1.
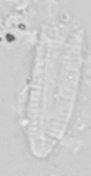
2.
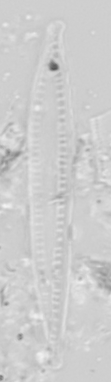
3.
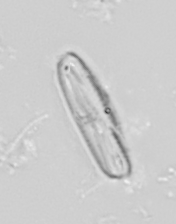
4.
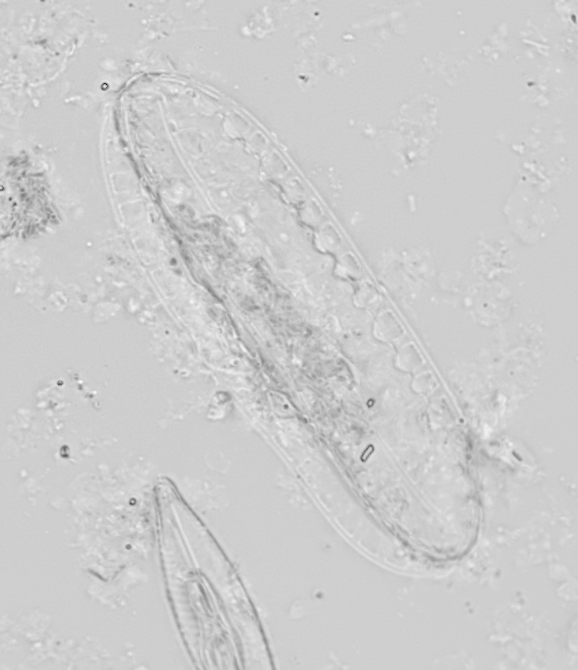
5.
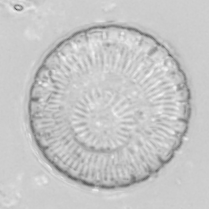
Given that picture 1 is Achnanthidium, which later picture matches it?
3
